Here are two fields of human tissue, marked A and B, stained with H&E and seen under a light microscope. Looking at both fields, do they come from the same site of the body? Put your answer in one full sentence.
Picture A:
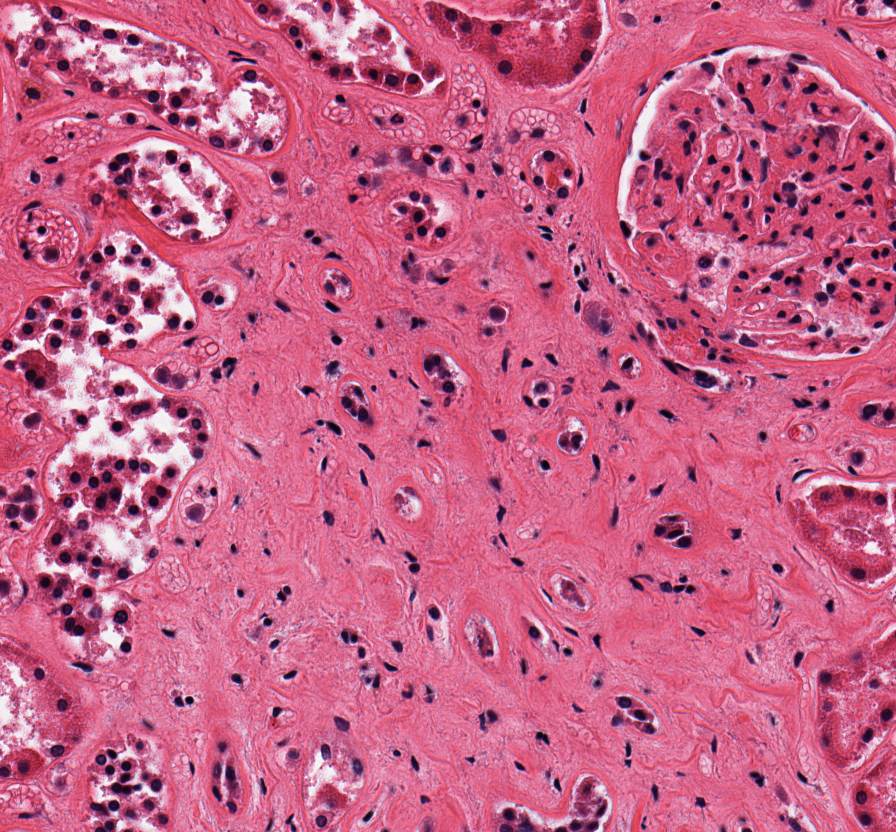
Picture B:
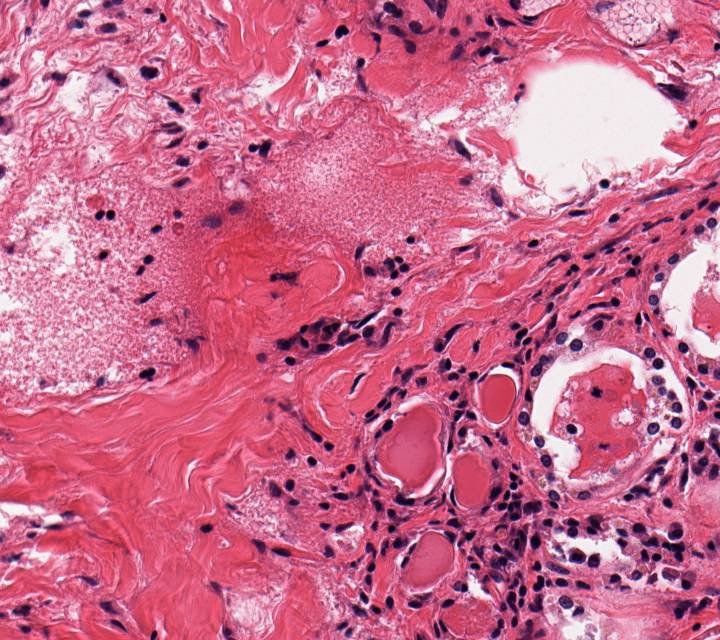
No, picture A comes from the renal cortex and picture B comes from the thyroid.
